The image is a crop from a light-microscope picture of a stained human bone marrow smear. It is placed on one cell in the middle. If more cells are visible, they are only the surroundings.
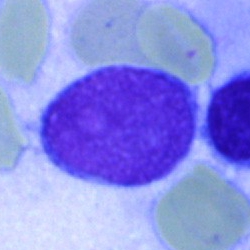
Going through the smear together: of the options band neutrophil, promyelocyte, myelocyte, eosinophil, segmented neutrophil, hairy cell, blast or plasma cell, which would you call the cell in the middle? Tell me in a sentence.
This crop is built around a blast at its centre.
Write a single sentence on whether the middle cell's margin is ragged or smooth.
Smooth edges only, with no spikes, blebs, or other projections.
